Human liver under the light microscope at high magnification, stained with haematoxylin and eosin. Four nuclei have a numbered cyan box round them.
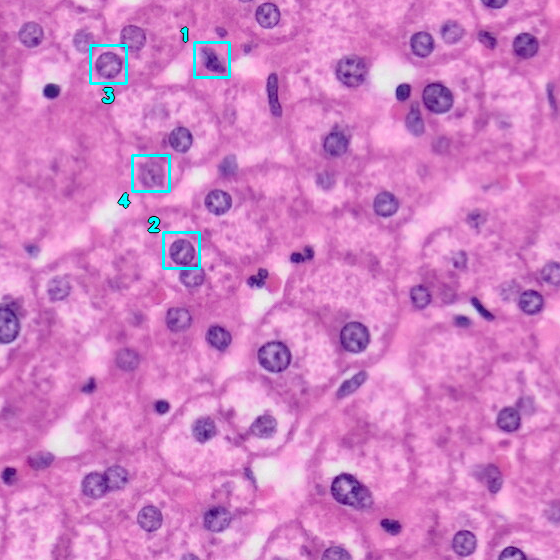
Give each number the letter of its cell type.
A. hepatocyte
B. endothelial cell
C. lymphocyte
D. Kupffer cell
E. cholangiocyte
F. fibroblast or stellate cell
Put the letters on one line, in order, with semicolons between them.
B; A; A; A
